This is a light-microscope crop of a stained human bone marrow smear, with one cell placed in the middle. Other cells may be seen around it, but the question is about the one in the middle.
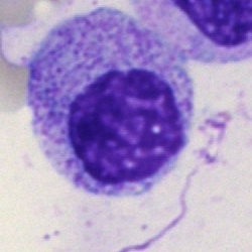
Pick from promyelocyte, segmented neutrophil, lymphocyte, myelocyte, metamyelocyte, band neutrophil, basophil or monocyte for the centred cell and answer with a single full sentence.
Classified as a myelocyte is the cell in the middle of this crop.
